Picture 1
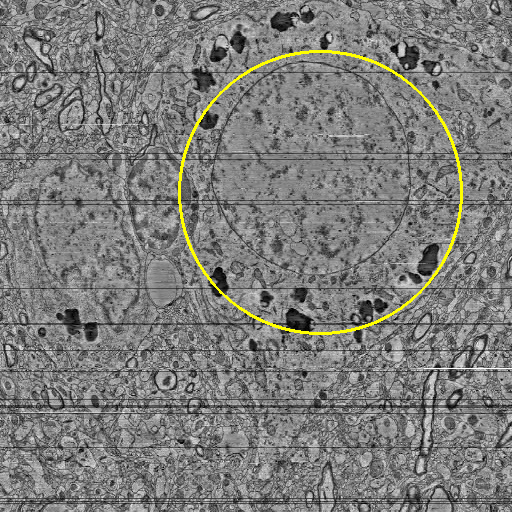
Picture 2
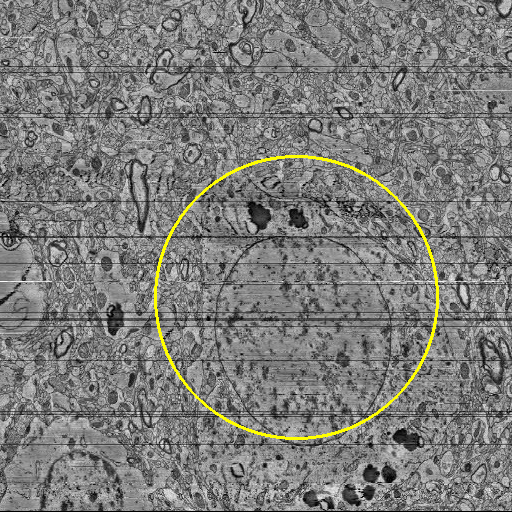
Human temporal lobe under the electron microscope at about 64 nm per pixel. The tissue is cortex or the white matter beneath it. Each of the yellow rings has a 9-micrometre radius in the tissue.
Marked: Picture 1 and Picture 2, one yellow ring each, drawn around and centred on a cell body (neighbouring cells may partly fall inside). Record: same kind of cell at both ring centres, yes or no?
yes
